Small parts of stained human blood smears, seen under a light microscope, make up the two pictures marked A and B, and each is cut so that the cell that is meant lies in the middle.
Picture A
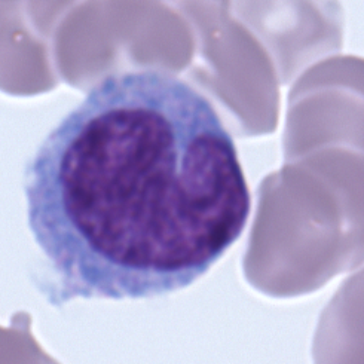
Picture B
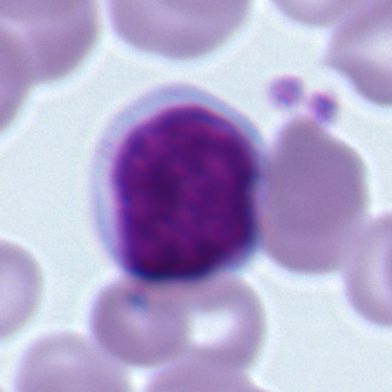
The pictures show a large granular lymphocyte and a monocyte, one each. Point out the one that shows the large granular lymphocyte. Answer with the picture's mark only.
B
